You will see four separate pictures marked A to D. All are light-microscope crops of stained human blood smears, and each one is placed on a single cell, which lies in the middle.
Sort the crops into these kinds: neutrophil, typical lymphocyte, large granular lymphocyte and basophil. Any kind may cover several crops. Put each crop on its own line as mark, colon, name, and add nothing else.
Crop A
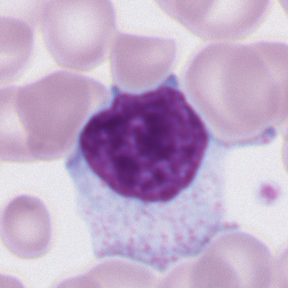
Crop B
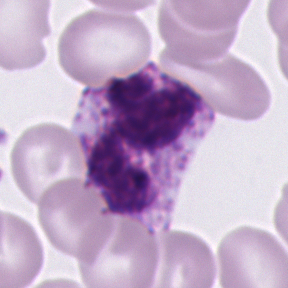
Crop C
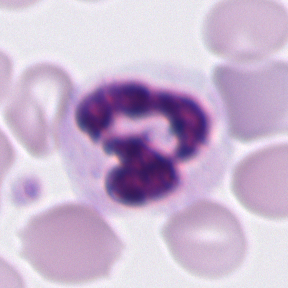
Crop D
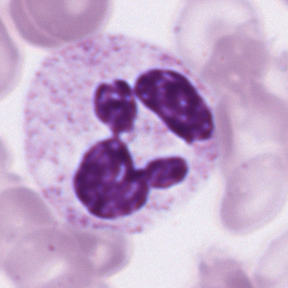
A: large granular lymphocyte
B: basophil
C: neutrophil
D: neutrophil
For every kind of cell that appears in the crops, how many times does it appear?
neutrophil: 2
large granular lymphocyte: 1
basophil: 1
